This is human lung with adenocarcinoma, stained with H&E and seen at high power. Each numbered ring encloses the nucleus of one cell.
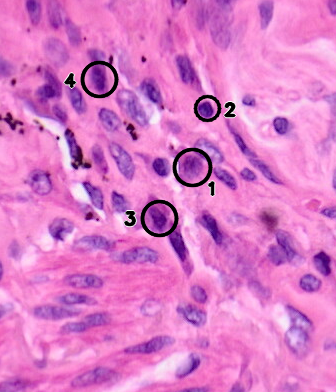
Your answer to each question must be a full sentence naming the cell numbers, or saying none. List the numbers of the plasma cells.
To be specific, the cells numbered 1, 3 and 4 are plasma cells.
